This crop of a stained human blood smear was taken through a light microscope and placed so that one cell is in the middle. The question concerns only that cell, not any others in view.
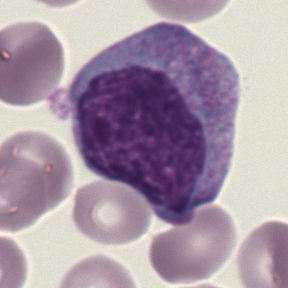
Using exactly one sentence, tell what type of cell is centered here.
Located at the centre of the crop is an atypical promyelocyte.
